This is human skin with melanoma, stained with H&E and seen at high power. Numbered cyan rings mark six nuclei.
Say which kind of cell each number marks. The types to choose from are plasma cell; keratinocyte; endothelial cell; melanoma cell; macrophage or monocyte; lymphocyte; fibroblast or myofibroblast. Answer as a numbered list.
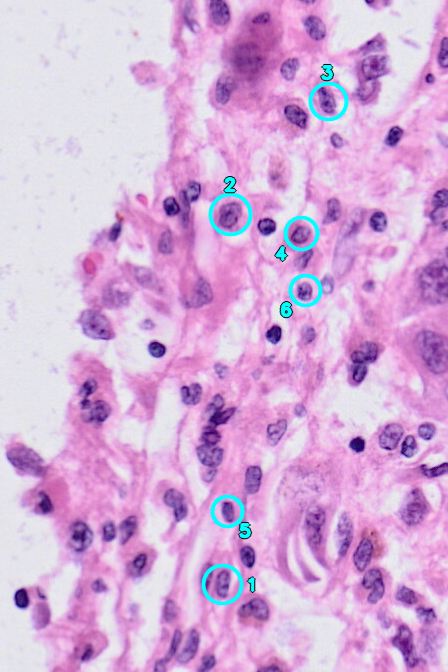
1. macrophage or monocyte
2. macrophage or monocyte
3. macrophage or monocyte
4. macrophage or monocyte
5. lymphocyte
6. lymphocyte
